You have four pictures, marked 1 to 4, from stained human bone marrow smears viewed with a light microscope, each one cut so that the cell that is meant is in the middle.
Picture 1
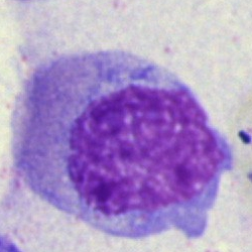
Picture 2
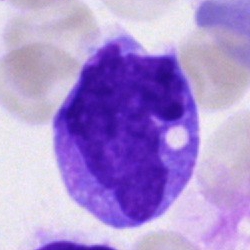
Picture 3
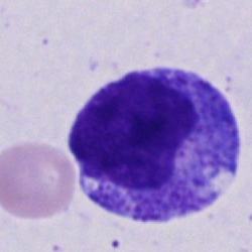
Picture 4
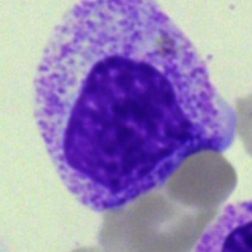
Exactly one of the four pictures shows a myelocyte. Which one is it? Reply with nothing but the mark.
4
